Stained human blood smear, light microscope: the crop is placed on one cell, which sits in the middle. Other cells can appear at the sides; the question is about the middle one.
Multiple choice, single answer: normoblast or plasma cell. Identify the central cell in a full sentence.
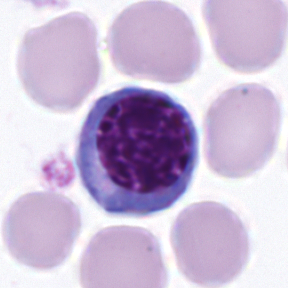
The crop shows a normoblast in its centre.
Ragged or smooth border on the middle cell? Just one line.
Happy to help: the outline is smooth and shows no projections.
